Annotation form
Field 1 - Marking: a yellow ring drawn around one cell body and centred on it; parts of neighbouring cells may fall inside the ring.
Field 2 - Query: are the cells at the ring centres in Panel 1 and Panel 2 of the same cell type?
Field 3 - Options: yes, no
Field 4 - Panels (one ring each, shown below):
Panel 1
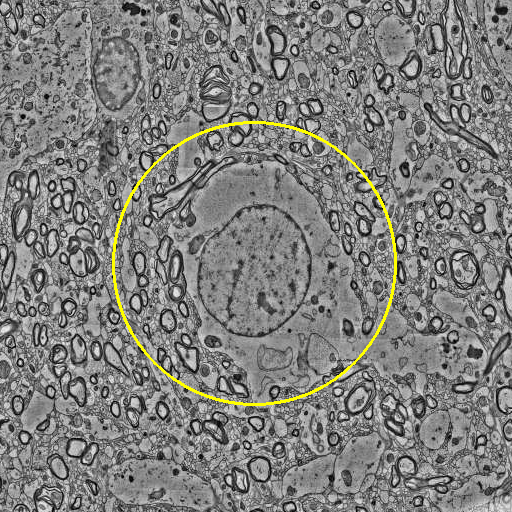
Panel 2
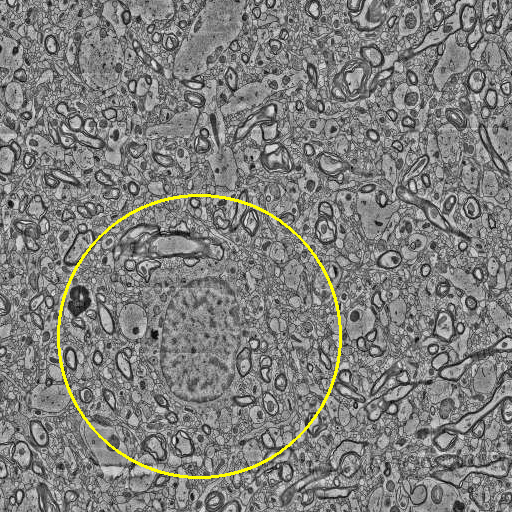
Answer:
no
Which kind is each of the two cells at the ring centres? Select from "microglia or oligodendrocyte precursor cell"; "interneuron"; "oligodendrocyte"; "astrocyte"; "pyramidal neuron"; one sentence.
The cell at the centre of the ring is an astrocyte in the first picture and an oligodendrocyte in the second.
